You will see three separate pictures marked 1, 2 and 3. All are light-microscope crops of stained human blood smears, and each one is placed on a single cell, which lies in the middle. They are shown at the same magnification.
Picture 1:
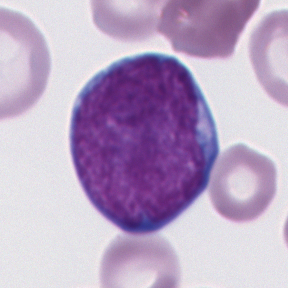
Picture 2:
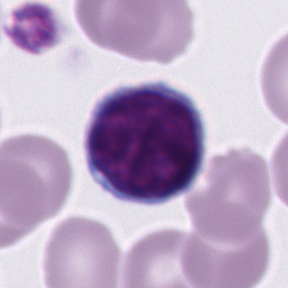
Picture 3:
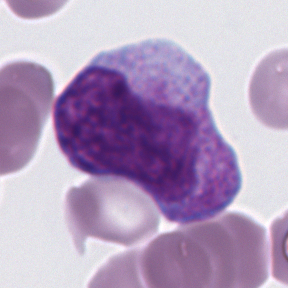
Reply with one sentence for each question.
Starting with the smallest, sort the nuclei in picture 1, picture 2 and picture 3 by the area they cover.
Going up, they run 2, 3, 1.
